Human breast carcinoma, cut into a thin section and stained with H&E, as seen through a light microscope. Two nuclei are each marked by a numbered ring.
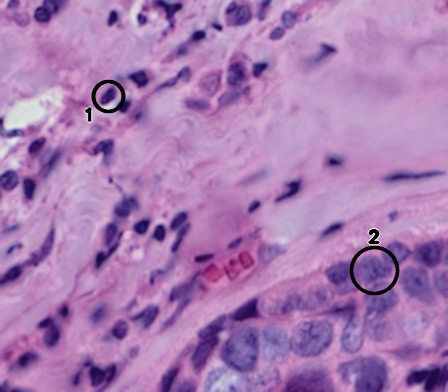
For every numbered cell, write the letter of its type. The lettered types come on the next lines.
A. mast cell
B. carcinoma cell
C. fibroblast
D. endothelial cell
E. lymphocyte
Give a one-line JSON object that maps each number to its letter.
{"1": "E", "2": "B"}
